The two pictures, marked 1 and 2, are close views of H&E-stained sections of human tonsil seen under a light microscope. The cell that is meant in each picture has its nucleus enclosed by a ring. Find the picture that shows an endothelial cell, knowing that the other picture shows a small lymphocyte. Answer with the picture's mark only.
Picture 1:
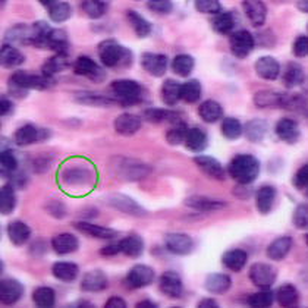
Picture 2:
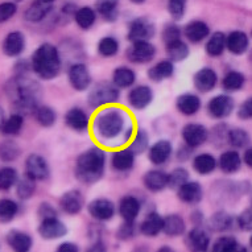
1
